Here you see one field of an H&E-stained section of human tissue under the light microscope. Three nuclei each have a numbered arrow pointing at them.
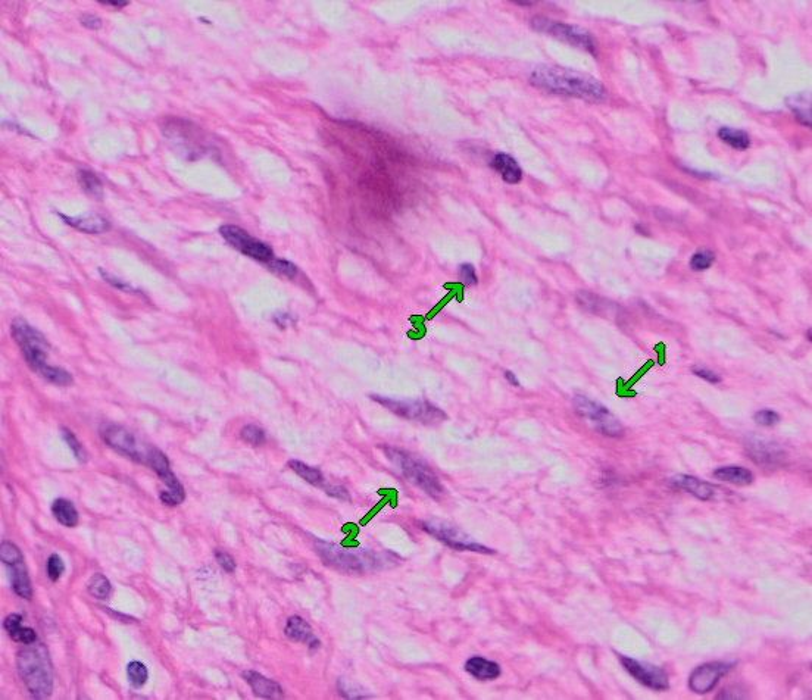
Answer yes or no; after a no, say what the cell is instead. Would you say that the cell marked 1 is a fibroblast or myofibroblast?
Yes.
